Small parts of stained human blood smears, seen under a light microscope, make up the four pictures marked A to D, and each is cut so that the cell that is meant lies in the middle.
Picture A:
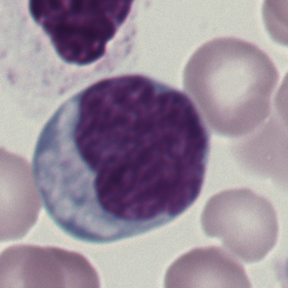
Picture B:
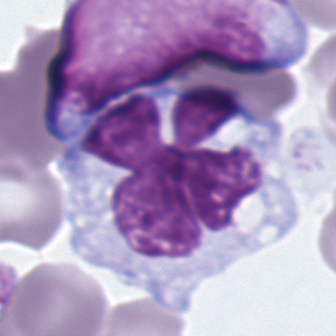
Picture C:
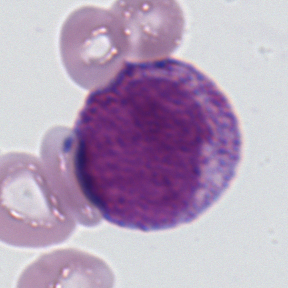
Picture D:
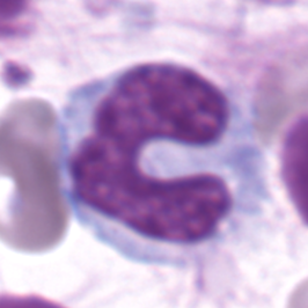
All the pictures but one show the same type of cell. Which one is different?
C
